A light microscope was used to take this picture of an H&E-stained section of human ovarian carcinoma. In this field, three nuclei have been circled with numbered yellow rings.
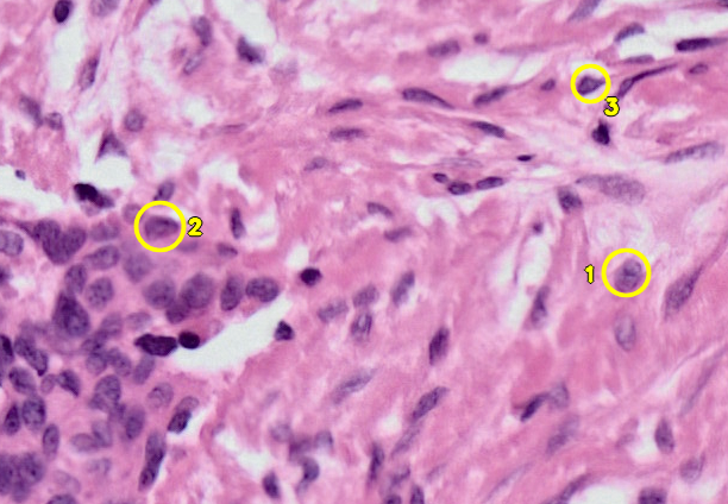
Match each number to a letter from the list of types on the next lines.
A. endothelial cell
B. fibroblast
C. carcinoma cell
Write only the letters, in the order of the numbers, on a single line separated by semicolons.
B; C; B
